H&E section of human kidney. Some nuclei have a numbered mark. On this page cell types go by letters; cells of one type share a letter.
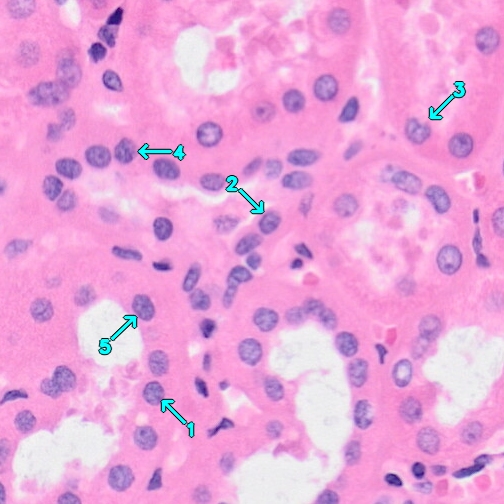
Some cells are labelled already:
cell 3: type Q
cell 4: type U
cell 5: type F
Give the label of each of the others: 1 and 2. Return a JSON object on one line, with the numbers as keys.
{"1": "type F", "2": "type U"}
